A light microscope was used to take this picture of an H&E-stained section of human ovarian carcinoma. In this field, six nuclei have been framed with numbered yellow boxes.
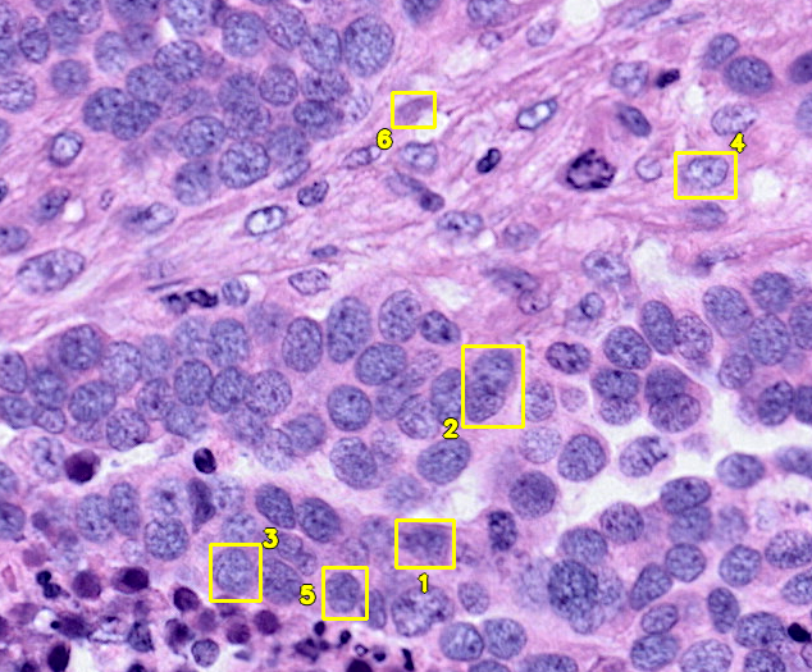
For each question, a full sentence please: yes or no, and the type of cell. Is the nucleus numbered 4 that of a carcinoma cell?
No, the cell at number 4 is a fibroblast instead of a carcinoma cell.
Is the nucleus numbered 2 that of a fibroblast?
No, cell 2 is correctly identified as a carcinoma cell and not as a fibroblast.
